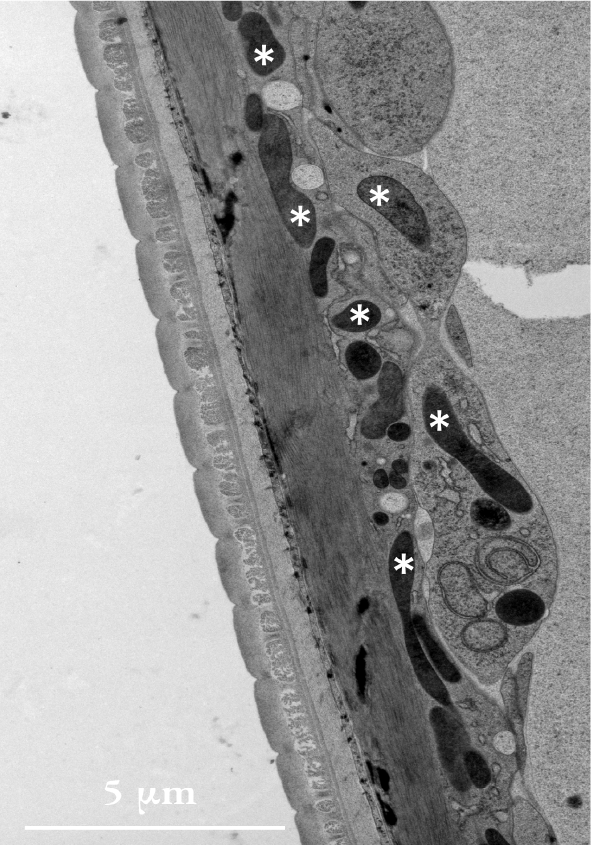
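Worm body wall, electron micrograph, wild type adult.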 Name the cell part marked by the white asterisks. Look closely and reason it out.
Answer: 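Mitochondria. The asterisks sit on dark, elongated oval organelles. The marked organelles lie in a row beneath the cuticle and muscle layer.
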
